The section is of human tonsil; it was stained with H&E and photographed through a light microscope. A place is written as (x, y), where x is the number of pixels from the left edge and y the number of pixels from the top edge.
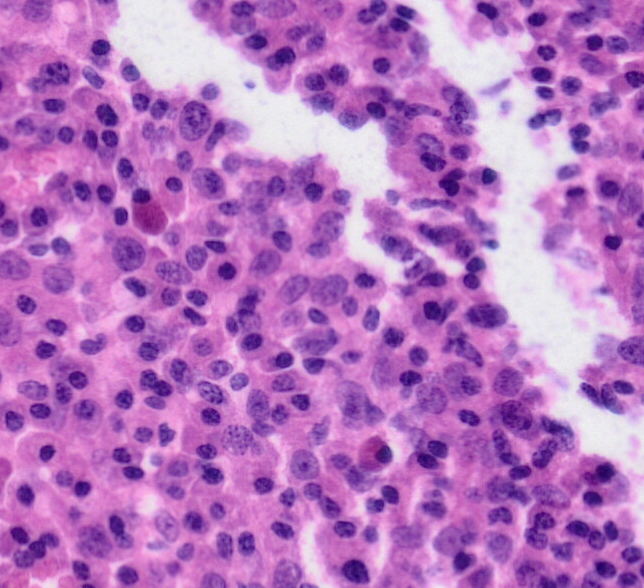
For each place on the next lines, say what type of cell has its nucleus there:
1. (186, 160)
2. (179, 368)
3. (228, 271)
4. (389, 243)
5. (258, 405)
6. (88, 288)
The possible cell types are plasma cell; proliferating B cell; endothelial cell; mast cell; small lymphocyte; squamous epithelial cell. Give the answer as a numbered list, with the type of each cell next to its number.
1. plasma cell
2. plasma cell
3. plasma cell
4. squamous epithelial cell
5. squamous epithelial cell
6. squamous epithelial cell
